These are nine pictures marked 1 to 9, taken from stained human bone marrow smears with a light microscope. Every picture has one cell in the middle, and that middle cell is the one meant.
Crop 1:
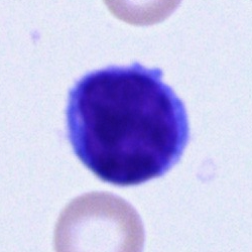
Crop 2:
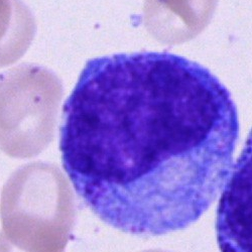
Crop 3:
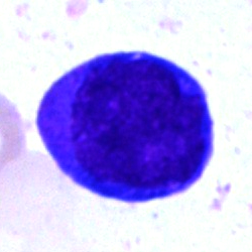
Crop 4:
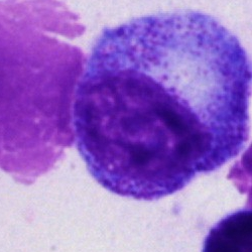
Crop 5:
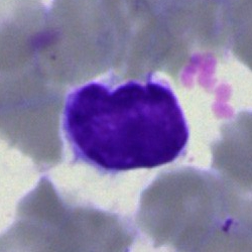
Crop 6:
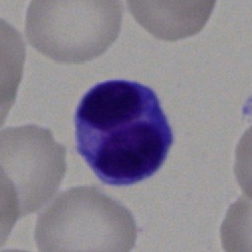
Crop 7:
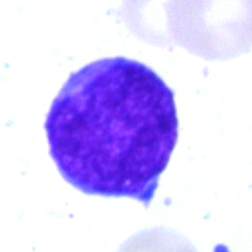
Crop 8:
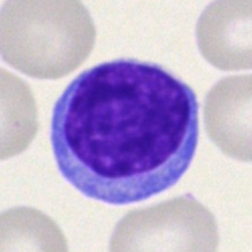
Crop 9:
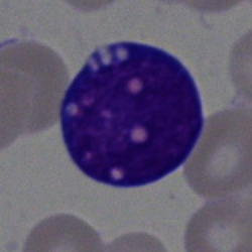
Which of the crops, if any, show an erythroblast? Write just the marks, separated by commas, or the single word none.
none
